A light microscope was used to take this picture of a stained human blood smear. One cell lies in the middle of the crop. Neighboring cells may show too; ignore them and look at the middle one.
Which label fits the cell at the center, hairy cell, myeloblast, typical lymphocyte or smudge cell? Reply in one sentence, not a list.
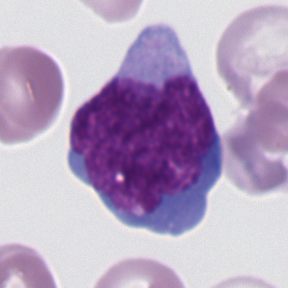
Occupying the centre of the crop is a myeloblast.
